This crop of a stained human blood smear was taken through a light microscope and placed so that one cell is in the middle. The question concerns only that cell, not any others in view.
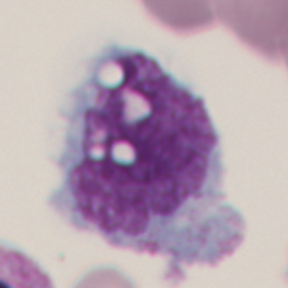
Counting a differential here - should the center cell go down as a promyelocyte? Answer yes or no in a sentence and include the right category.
No, what sits in the centre of the crop is a monocyte rather than a promyelocyte.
